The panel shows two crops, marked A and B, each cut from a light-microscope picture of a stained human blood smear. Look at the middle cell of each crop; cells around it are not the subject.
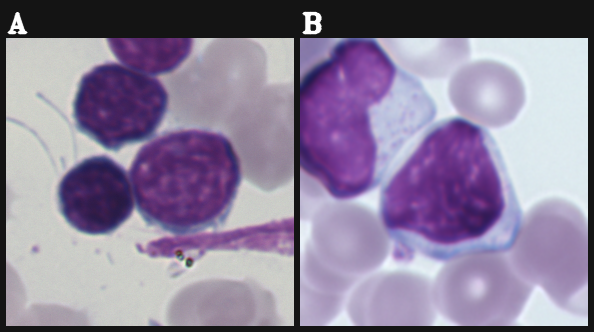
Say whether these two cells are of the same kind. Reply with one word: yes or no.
no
